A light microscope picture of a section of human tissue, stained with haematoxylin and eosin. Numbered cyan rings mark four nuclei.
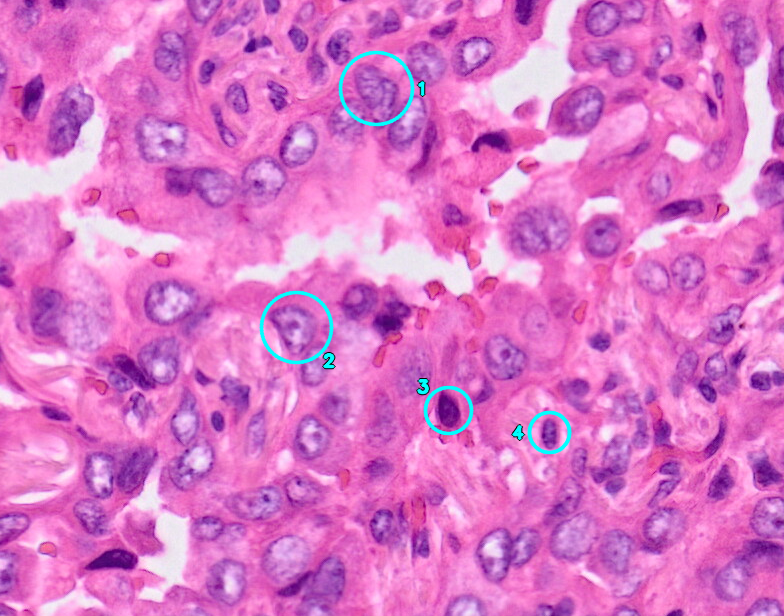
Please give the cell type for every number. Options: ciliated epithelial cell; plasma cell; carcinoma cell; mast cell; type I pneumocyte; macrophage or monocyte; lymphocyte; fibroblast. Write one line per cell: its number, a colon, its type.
1: carcinoma cell
2: carcinoma cell
3: carcinoma cell
4: mast cell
